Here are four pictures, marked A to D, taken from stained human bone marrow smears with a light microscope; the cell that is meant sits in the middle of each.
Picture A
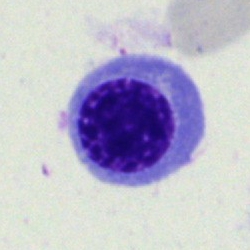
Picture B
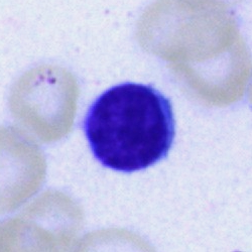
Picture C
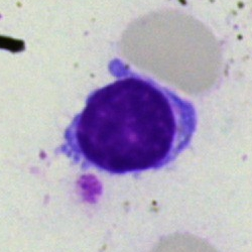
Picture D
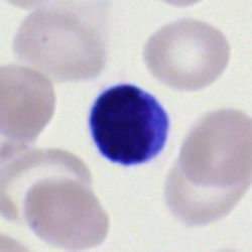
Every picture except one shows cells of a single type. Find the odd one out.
A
